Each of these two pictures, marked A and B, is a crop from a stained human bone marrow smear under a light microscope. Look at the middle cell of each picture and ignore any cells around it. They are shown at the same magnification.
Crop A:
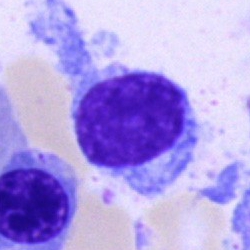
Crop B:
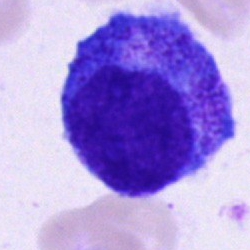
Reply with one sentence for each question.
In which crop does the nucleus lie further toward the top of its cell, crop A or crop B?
The nucleus in crop A lies further toward the top of its cell.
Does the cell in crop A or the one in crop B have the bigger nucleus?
Larger is the nucleus in crop B, at roughly 1.5 times the area of the other.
